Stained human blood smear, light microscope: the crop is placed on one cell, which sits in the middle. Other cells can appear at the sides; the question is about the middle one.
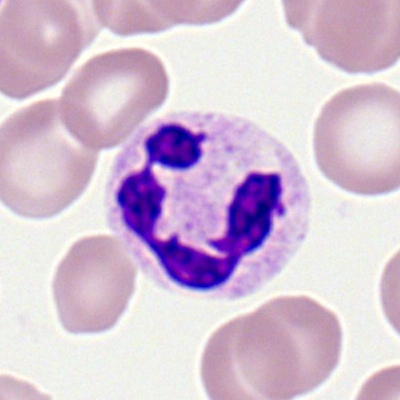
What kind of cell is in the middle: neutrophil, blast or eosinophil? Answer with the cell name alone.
neutrophil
